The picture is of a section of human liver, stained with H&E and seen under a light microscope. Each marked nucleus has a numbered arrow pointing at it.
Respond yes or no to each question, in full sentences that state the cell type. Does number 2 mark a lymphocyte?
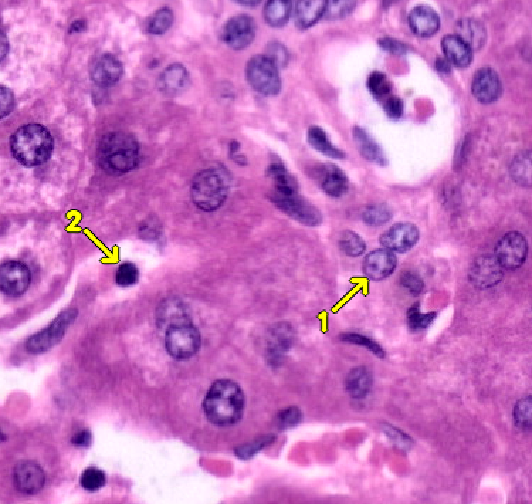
Yes, as for number 2, the cell is a lymphocyte.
